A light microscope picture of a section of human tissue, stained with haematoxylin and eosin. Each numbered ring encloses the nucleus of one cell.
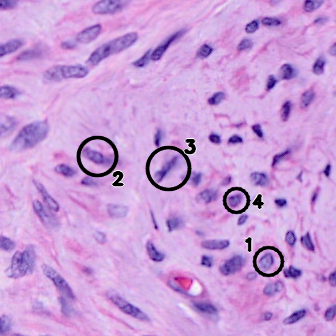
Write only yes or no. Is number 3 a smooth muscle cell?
no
